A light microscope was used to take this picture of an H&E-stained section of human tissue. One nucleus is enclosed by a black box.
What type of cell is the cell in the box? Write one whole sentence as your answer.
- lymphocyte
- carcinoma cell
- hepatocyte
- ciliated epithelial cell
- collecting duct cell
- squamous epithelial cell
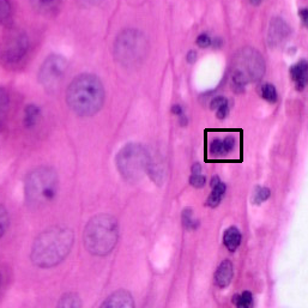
In this tissue sample, the cell in the box is a squamous epithelial cell.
